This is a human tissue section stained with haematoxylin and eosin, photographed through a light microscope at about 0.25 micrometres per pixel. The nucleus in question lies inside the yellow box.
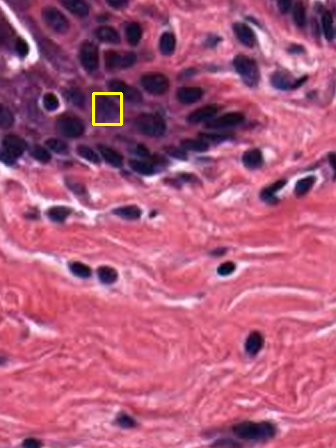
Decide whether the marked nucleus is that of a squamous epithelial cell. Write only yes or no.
yes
